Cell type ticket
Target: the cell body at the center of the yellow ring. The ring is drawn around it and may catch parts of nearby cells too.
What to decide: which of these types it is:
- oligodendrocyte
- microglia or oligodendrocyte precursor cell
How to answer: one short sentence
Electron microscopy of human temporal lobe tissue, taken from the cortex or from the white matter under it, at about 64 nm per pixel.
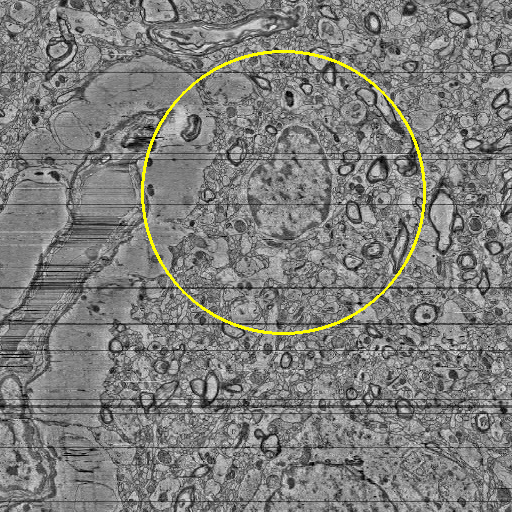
The cell at the center of the ring is a microglial cell or oligodendrocyte precursor cell.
